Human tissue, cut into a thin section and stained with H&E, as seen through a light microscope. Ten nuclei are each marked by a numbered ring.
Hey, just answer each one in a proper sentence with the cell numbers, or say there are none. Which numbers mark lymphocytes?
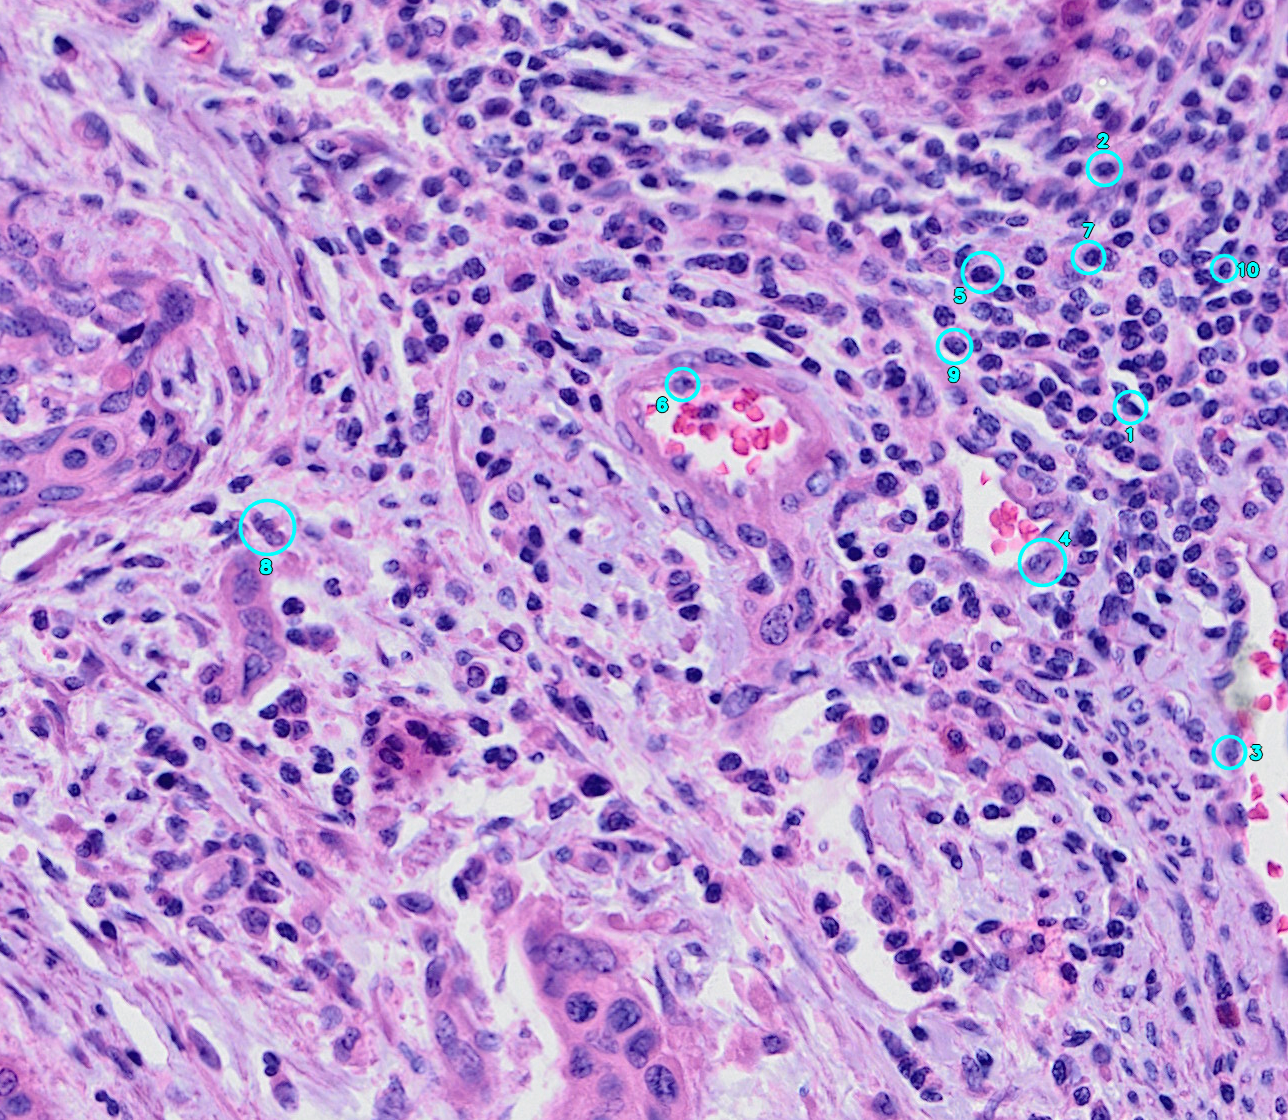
In this section, the cells numbered 1, 2, 5, 7, 9 and 10 are lymphocytes.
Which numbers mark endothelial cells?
The cells numbered 3, 4 and 6 are, by type, endothelial cells.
